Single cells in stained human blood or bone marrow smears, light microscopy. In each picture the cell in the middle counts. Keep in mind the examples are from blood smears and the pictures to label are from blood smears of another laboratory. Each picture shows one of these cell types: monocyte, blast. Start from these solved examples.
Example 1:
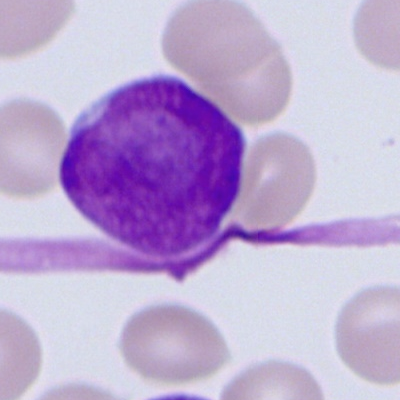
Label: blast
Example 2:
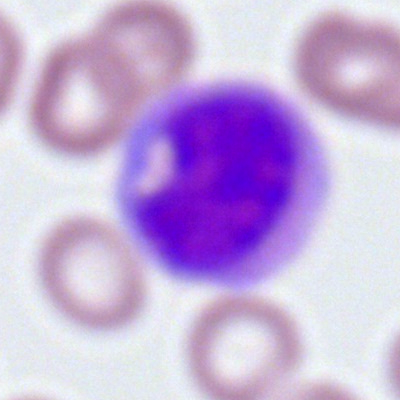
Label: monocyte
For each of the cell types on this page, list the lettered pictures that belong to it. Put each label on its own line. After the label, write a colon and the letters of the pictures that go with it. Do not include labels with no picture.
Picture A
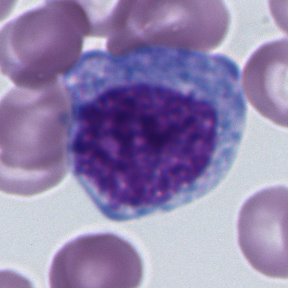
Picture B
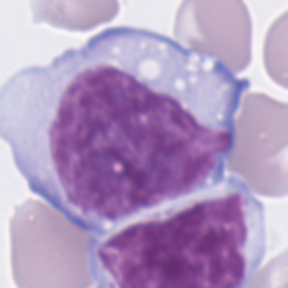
monocyte: A
blast: B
